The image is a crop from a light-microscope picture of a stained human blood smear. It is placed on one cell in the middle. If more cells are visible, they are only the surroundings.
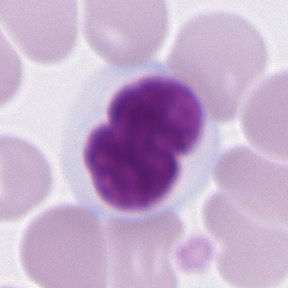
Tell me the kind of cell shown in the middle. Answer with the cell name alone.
typical lymphocyte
